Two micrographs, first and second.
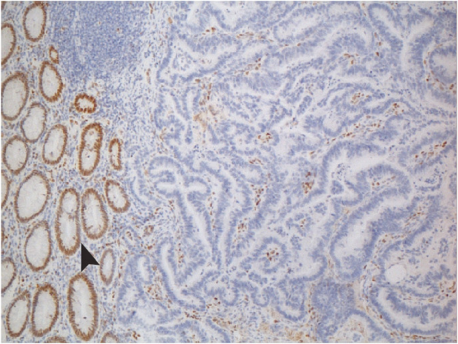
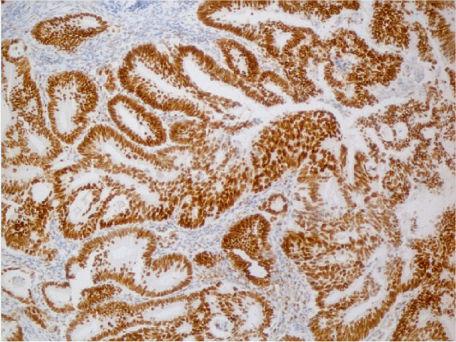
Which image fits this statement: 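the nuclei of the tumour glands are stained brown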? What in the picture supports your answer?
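First image: the irregular tumour glands on the right have blue nuclei with no brown stain. Second image: nearly all nuclei of the irregular tumour glands are intensely brown. The answer: the second image.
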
